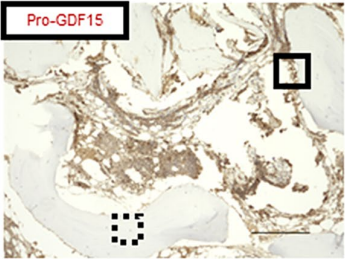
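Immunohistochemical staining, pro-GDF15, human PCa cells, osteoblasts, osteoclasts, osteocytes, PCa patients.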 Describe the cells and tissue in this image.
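Broad pale, unstained bands of bone run through the field, enclosing irregular marrow spaces. Within these spaces lie clusters and strands of cells with brown cytoplasmic stain, and some of them line the surfaces of the bone. Large parts of the marrow spaces are empty and white. The bone itself stays almost entirely unstained, with only rare small stained spots inside it. This is bone with its marrow spaces partly filled by stained cells, the picture of a bone metastasis.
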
